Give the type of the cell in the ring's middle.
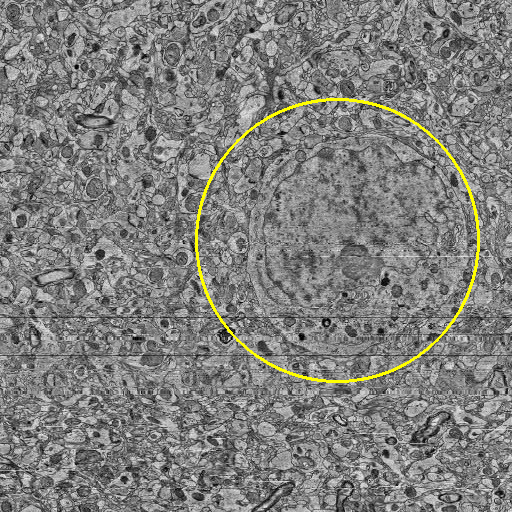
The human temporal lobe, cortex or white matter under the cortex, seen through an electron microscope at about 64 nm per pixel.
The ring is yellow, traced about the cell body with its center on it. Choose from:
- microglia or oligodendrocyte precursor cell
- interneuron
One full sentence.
Here, an interneuron is the cell lying at the center of the yellow ring.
